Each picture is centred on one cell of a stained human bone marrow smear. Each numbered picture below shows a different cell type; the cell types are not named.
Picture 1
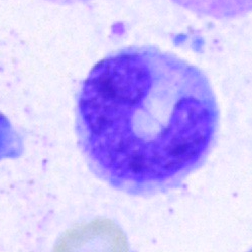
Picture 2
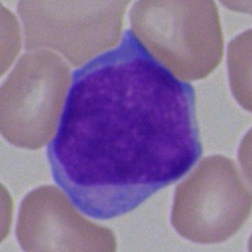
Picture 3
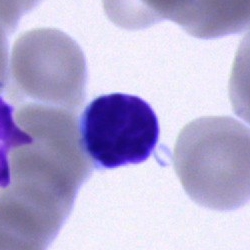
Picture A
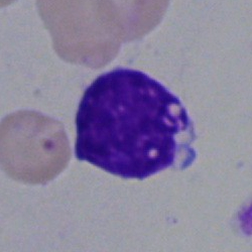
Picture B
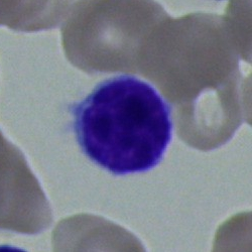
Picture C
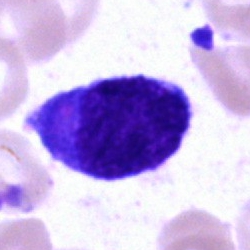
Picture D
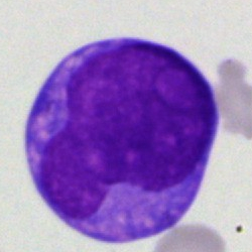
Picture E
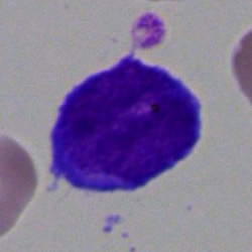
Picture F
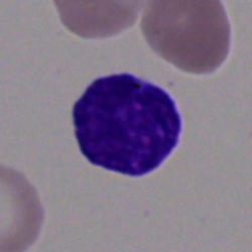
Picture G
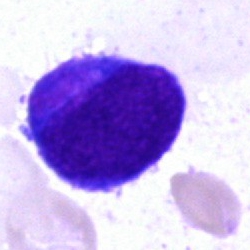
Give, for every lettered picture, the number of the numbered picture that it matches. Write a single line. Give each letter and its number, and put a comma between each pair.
A 3, B 3, C 2, D 2, E 2, F 2, G 2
